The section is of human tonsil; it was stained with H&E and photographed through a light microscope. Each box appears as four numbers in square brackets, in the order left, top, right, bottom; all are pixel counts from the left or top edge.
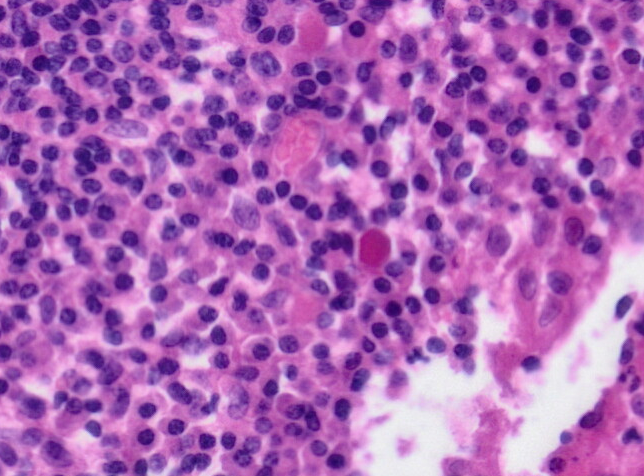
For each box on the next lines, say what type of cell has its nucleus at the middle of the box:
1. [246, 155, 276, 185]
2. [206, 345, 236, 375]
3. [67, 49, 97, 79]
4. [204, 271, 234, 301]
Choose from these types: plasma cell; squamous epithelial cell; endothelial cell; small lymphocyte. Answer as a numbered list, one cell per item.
1. plasma cell
2. plasma cell
3. small lymphocyte
4. plasma cell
